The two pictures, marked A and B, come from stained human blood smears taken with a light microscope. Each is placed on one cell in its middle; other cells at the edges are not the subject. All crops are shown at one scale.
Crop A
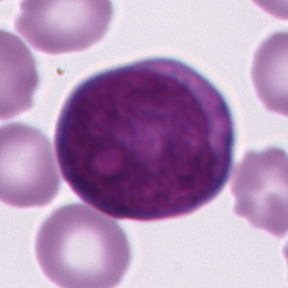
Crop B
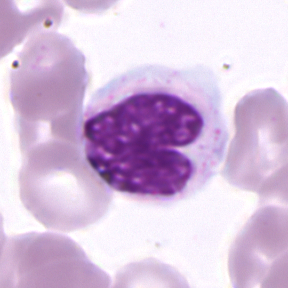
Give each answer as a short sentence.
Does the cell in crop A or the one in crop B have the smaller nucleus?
The nucleus in crop B is smaller; the one in crop A has about 2 times its area.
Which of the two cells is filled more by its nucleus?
Of the two, the nucleus in crop A makes up the greater part of its cell.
